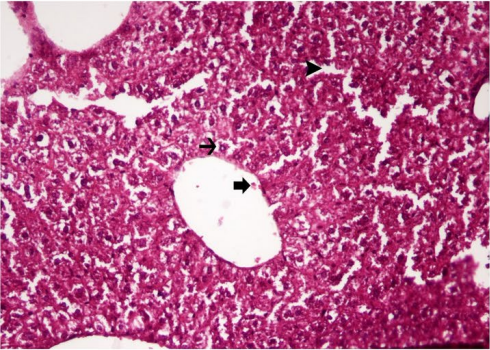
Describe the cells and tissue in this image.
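Liver tissue with a large, oval central vein in the middle, its lumen open and holding a little red material, and further large vessels at the edges. The surrounding hepatocytes no longer form neat cords: the parenchyma looks broken up, with many irregular, jagged white clefts between groups of cells, marking widened sinusoids. The hepatocyte cytoplasm is deep pink but granular and patchy, and the purple nuclei are scattered unevenly. Near the vein wall cells look pale and loosely textured. Overall the tissue has a moth-eaten, disorganized appearance.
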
